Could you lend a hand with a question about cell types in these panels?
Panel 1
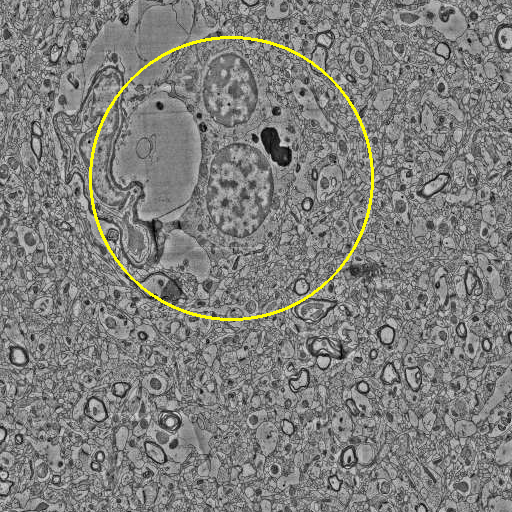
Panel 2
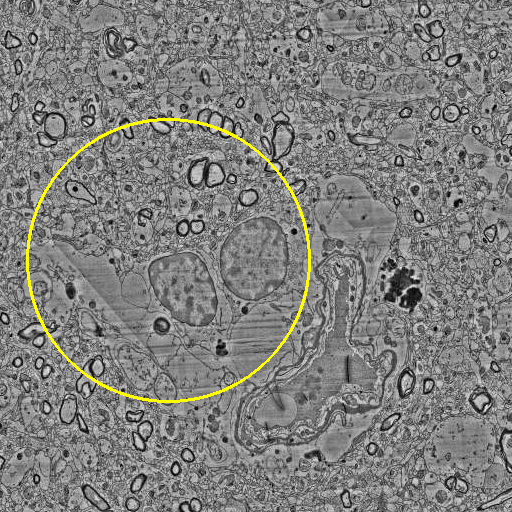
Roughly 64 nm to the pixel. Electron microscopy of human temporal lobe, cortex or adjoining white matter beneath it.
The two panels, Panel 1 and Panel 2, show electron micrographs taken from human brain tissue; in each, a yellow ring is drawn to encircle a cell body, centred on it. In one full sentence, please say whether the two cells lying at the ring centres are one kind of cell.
No, the cells at the ring centres in the two panels are two kinds of cell.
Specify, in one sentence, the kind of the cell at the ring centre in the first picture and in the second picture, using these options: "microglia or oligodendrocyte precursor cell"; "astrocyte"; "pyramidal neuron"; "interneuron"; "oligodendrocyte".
So the first is an oligodendrocyte, the second a microglial cell or oligodendrocyte precursor cell.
